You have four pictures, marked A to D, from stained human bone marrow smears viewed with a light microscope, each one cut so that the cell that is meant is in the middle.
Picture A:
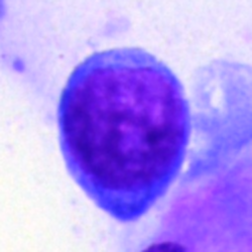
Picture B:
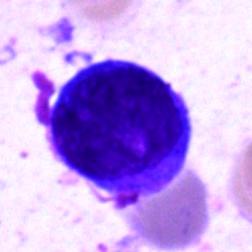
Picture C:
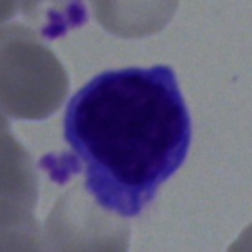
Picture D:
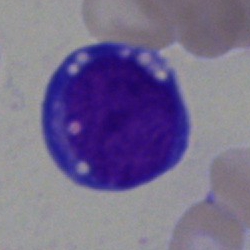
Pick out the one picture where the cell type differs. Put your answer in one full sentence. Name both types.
The others show blasts, but picture C shows a lymphocyte.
